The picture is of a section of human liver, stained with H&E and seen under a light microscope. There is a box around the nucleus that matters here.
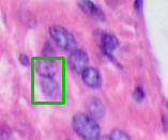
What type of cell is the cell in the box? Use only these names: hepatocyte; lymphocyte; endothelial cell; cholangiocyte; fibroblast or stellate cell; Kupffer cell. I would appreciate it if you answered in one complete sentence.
Within this tissue, the cell in the box is a cholangiocyte.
